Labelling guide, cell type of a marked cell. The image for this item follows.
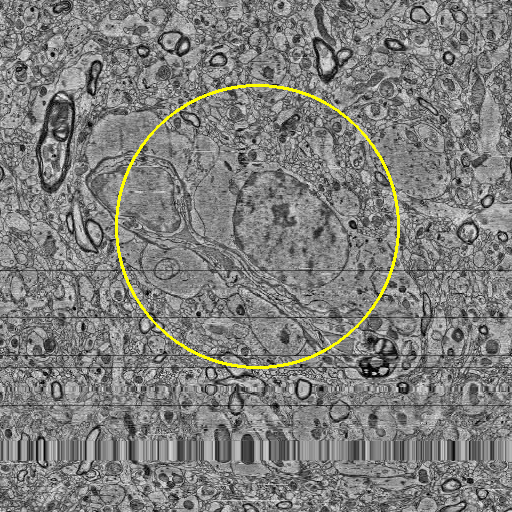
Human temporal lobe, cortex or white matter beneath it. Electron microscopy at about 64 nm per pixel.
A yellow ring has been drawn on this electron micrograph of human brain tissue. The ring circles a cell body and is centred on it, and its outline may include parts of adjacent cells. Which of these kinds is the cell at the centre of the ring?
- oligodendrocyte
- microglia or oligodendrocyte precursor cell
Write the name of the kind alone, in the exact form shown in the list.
microglia or oligodendrocyte precursor cell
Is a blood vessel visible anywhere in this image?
Yes, there is a blood vessel in the image.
